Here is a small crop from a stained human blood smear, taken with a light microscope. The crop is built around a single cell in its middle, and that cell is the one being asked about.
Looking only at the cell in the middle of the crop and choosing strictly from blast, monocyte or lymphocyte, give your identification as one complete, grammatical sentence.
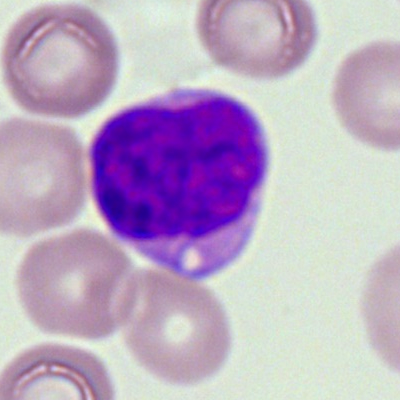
The centrally located cell in the crop is a lymphocyte.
